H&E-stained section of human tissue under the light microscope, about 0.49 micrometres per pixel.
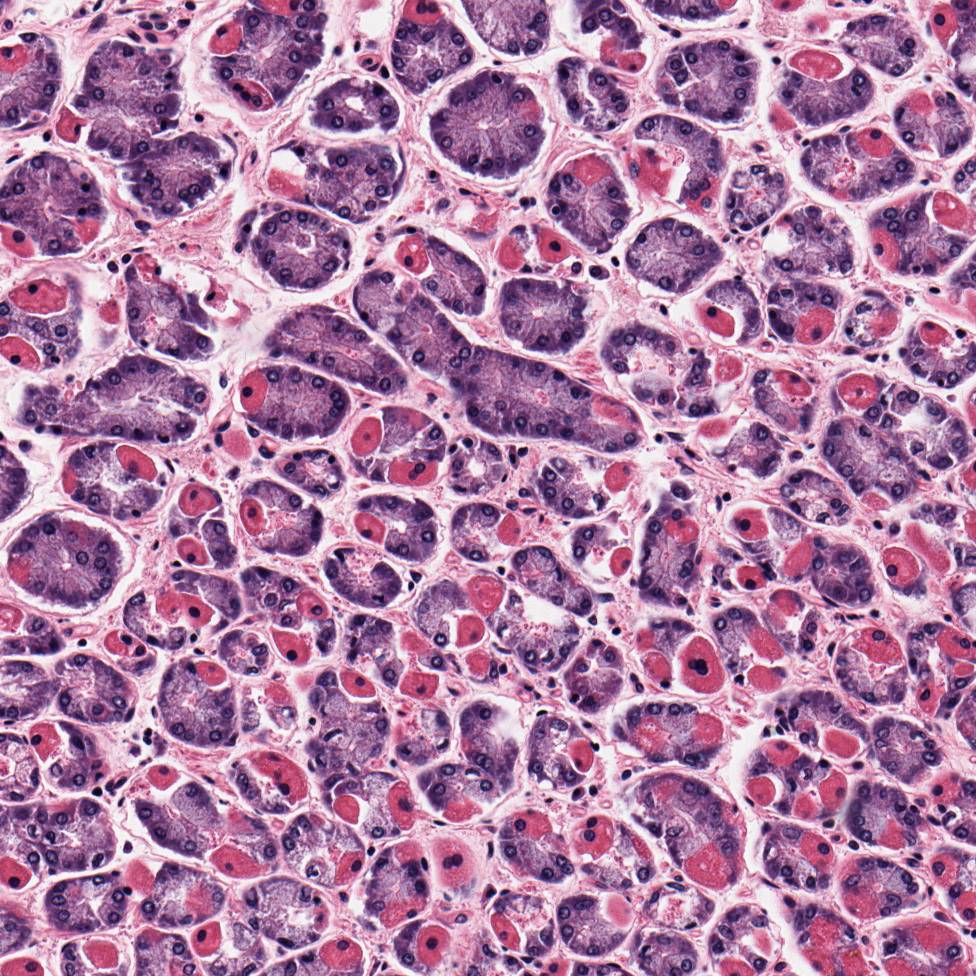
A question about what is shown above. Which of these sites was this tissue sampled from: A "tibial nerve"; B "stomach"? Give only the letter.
B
